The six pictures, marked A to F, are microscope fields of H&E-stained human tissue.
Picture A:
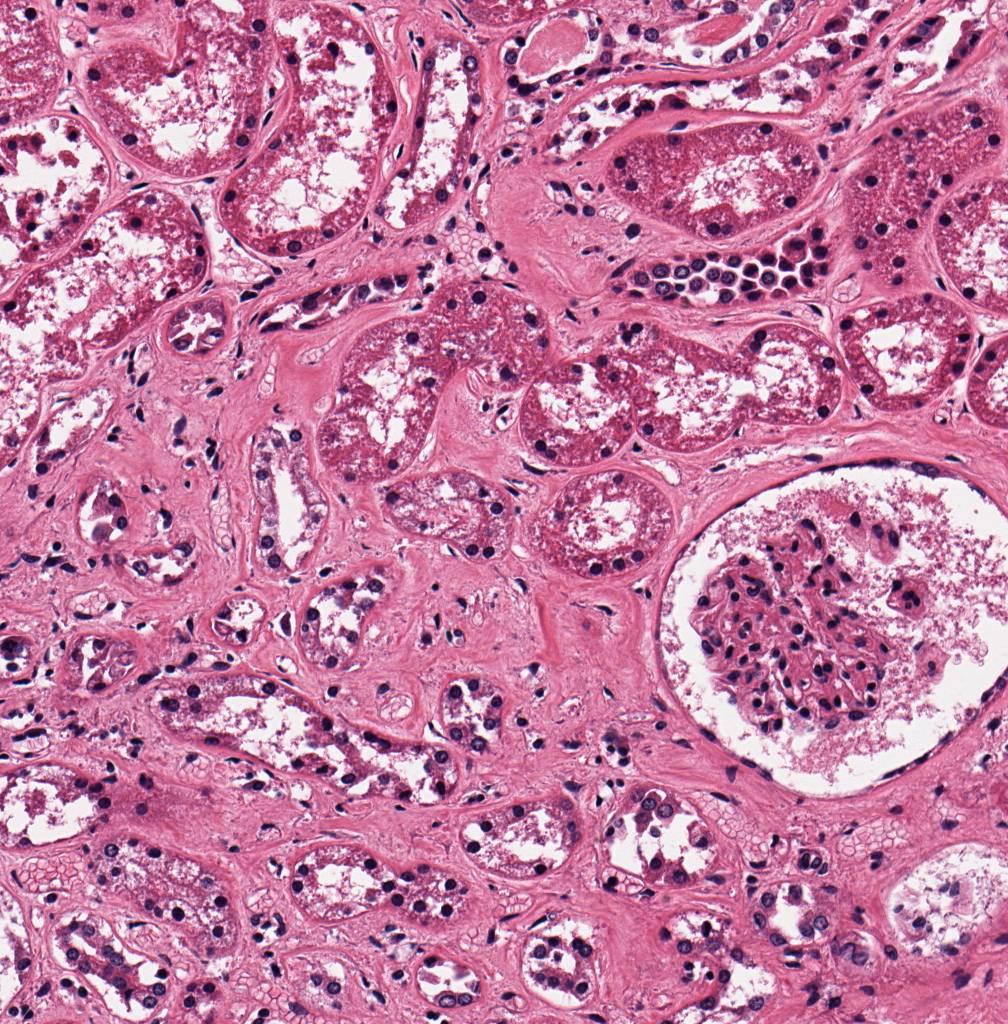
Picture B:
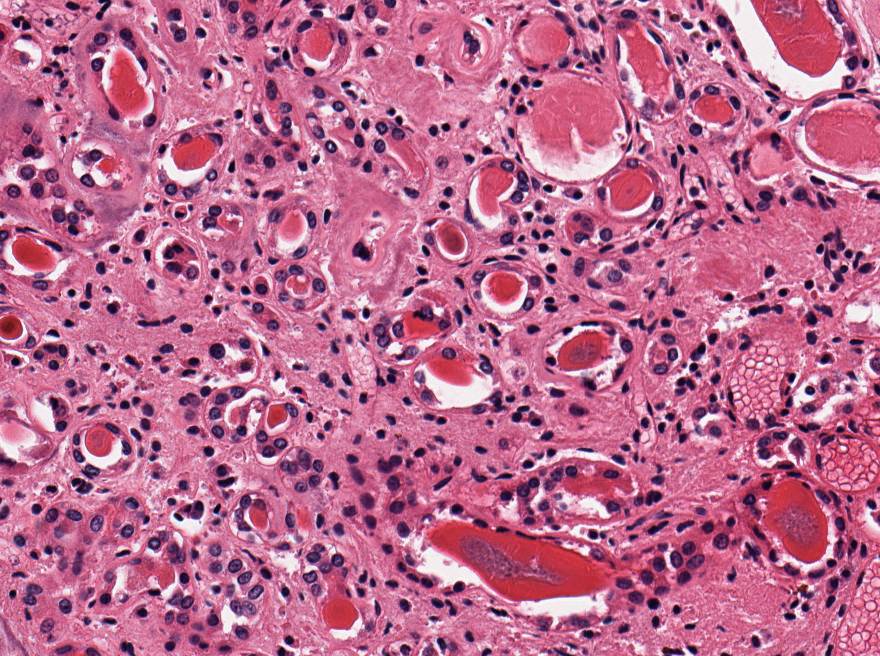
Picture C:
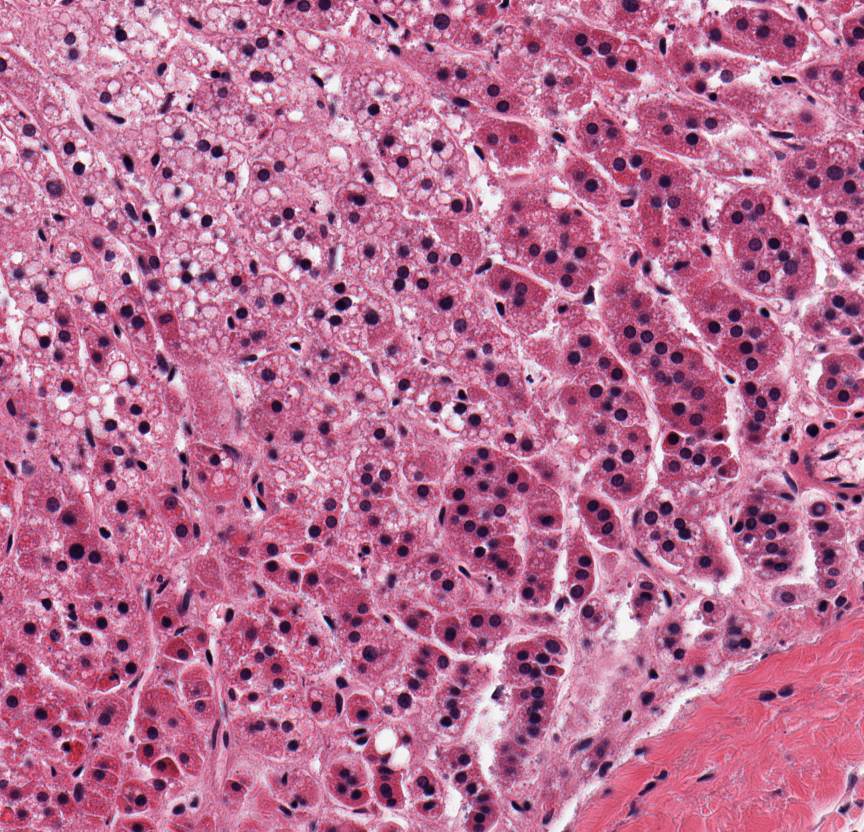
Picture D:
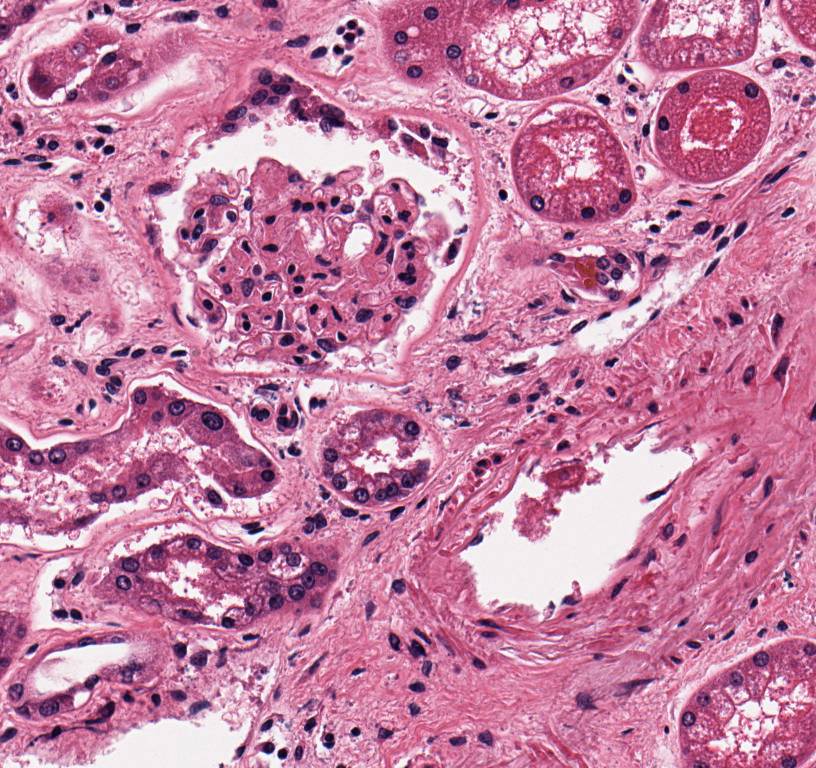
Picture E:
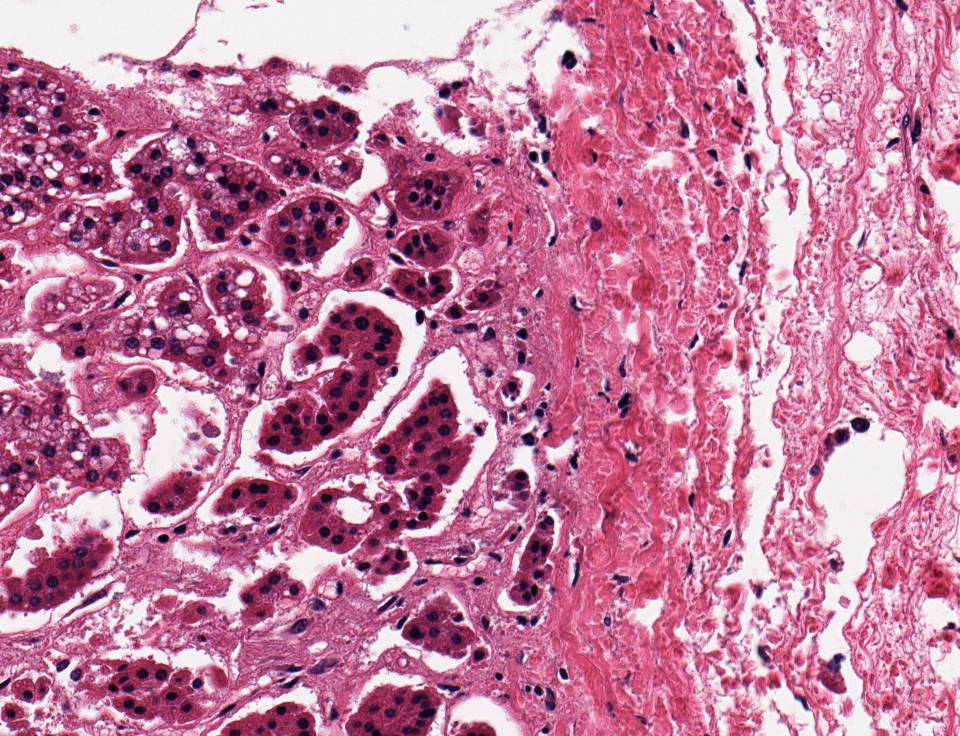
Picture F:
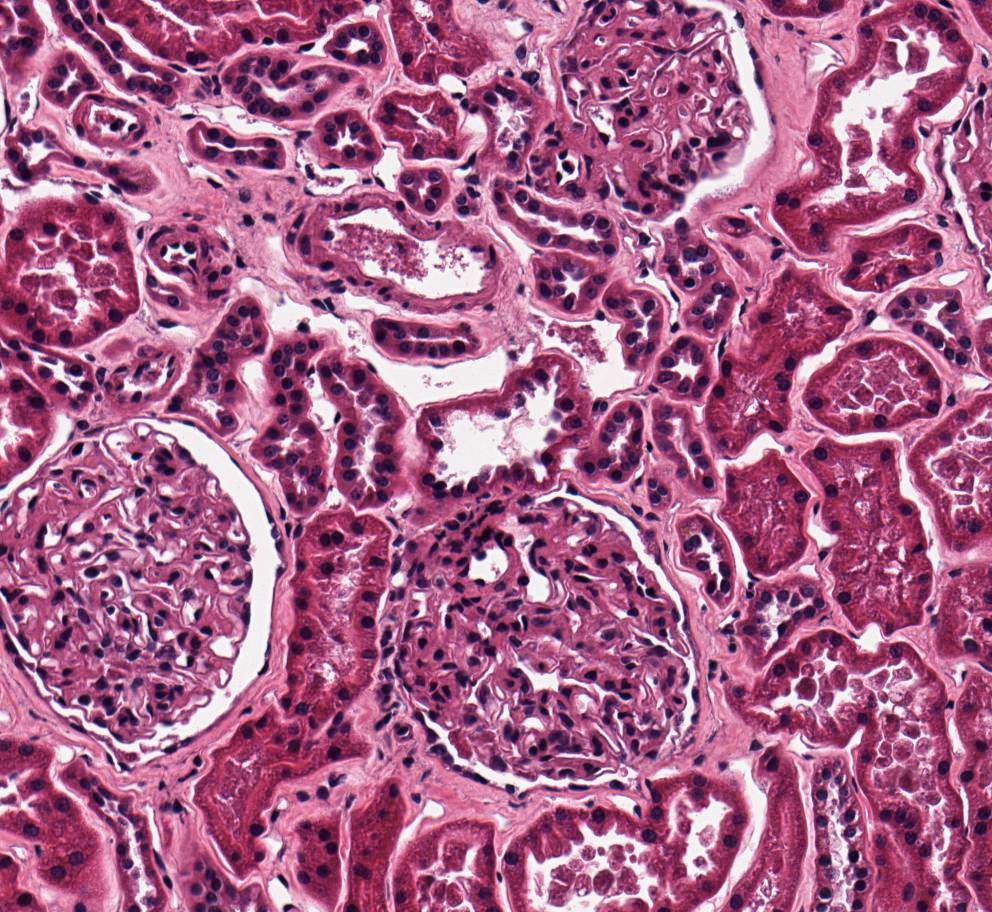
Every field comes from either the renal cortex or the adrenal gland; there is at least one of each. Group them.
A: renal cortex
B: renal cortex
C: adrenal gland
D: renal cortex
E: adrenal gland
F: renal cortex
